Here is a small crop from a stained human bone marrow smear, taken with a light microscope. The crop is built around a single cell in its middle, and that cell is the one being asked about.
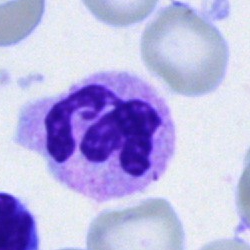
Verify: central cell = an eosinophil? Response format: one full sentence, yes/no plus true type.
No, instead of an eosinophil, the centred cell represents a segmented neutrophil.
